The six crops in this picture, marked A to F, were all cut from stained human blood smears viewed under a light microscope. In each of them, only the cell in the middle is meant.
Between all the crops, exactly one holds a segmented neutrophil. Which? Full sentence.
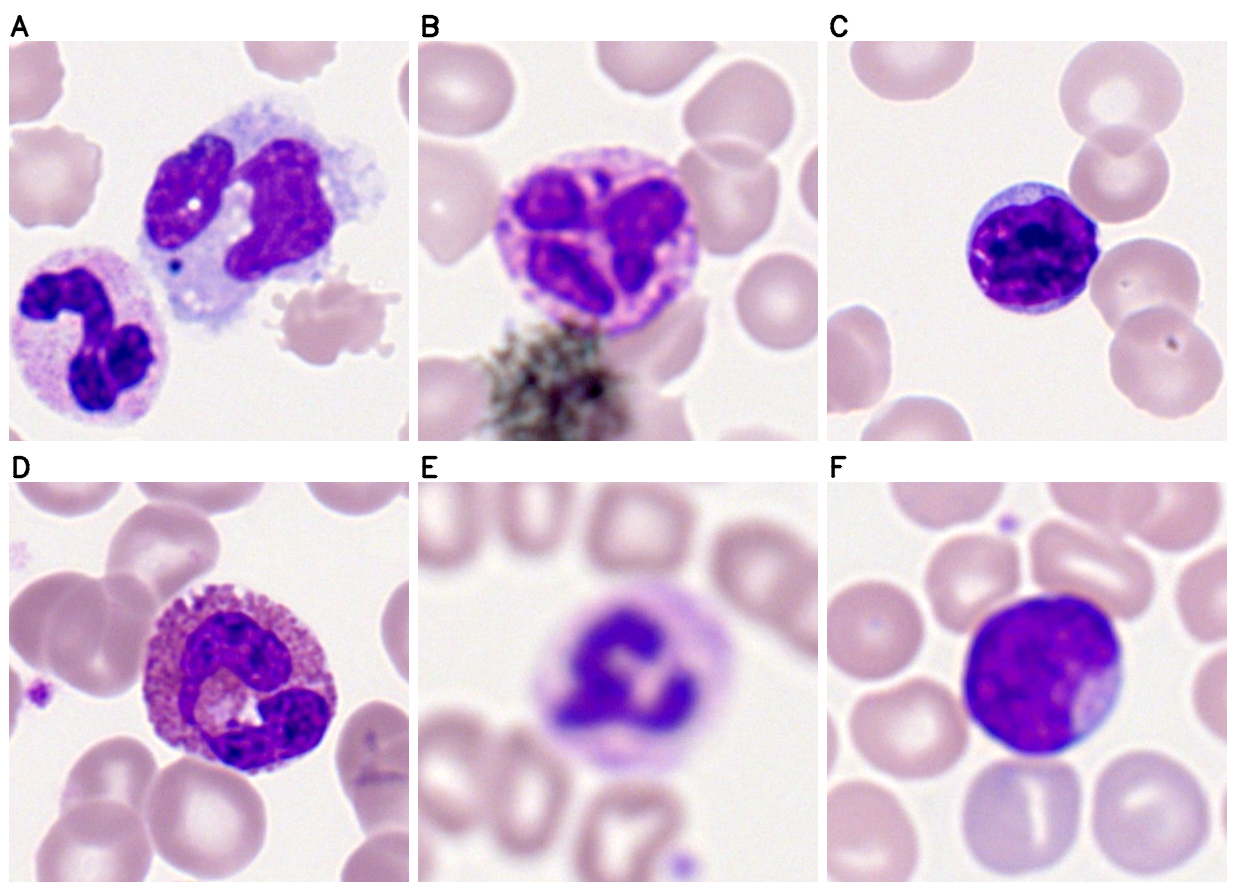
Crop E is the single crop that shows a segmented neutrophil.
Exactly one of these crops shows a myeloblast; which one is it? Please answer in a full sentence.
Crop F is the one in this set that shows a myeloblast.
